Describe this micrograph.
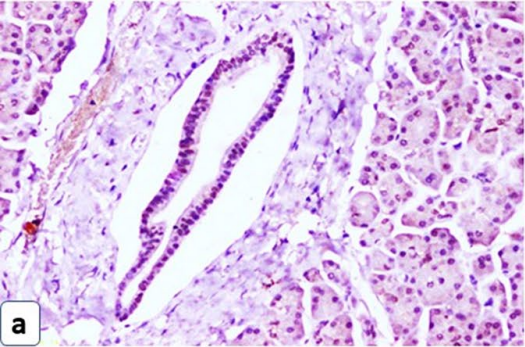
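This is normal pancreas with a duct lying in loose connective tissue between lobules of acinar cells. The duct is lined by a single layer of cuboidal to low columnar epithelial cells with dark, closely spaced nuclei around an open lumen. On either side, acinar cells form clusters of polygonal cells with pale pink granular cytoplasm and round central nuclei.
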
